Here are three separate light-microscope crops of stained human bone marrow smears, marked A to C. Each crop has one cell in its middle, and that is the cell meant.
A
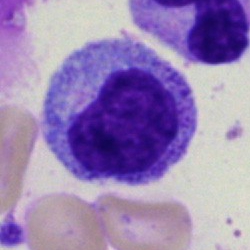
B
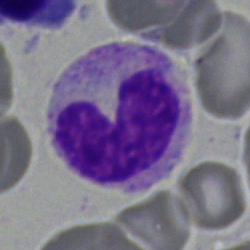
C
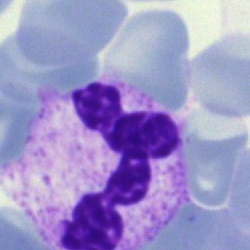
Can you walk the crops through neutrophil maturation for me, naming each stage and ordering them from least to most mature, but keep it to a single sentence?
The proper maturity order, starting from the least mature, is crop A (a myelocyte), crop B (a band neutrophil) and crop C (a segmented neutrophil).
